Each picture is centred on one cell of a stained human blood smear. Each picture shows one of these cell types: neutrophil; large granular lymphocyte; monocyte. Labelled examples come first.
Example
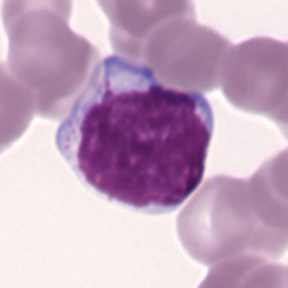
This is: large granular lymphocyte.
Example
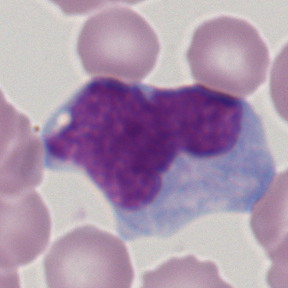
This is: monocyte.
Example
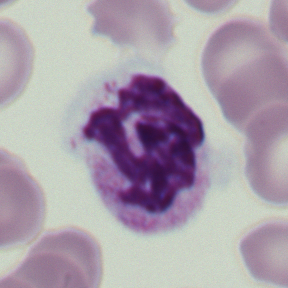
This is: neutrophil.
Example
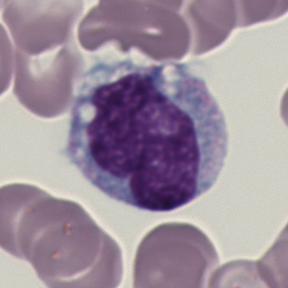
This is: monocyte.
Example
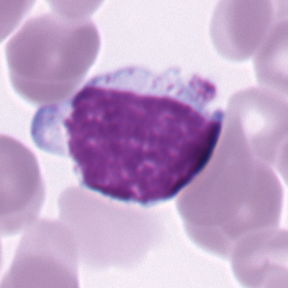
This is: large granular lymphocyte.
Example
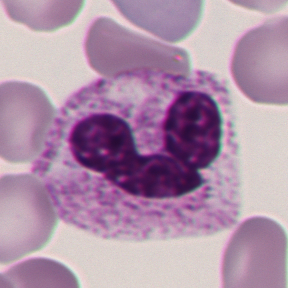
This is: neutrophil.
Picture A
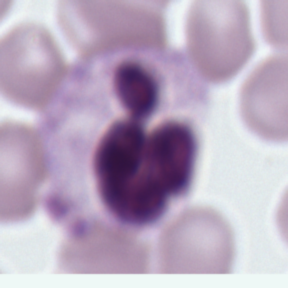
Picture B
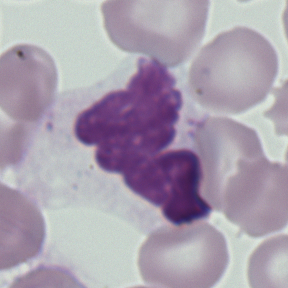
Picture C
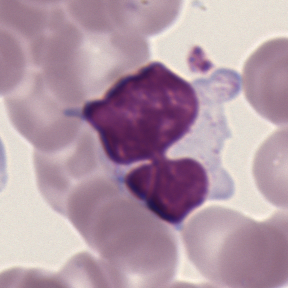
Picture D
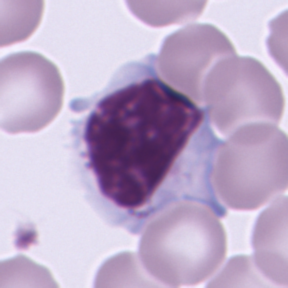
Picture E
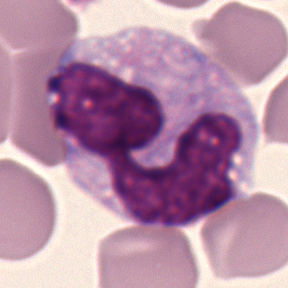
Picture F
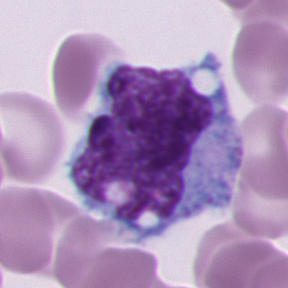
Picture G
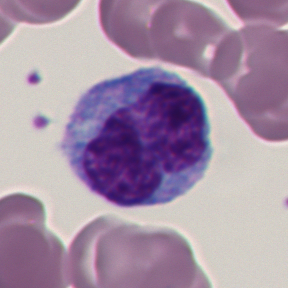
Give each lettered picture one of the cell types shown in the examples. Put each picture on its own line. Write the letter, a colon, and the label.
A: neutrophil.
B: neutrophil.
C: large granular lymphocyte.
D: large granular lymphocyte.
E: monocyte.
F: monocyte.
G: monocyte.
